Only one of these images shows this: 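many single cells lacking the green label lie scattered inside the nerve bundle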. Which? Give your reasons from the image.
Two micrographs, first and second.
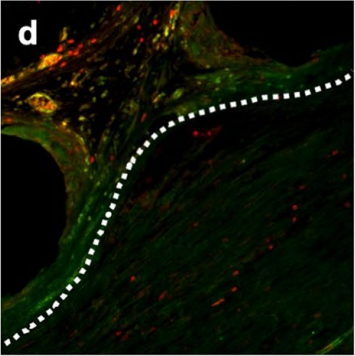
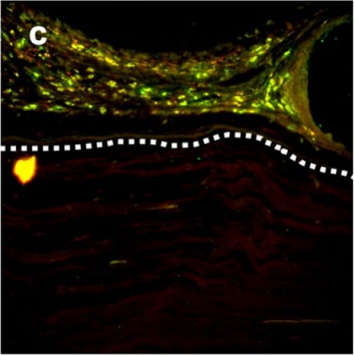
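First image: numerous small red dots are spread through the fibrous tissue below the dashed line. Second image: the tissue below the dashed line is dark with almost no red dots apart from one large blob.
The first image.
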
